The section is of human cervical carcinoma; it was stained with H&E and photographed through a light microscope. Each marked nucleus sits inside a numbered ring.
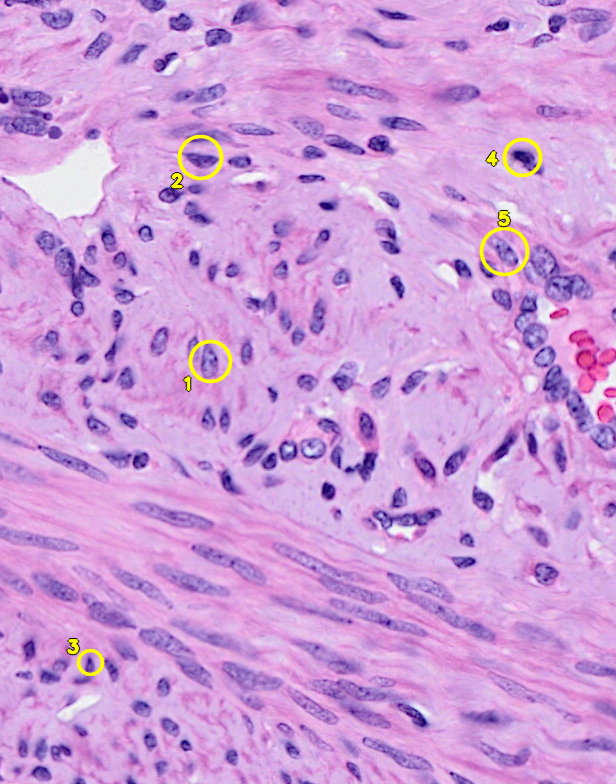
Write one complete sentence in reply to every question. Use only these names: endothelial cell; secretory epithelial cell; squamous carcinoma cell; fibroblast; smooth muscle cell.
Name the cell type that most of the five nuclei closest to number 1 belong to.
Smooth muscle cells make up most of the five nuclei closest to number 1.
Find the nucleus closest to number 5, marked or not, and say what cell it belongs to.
It is a smooth muscle cell whose nucleus is nearest to number 5.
